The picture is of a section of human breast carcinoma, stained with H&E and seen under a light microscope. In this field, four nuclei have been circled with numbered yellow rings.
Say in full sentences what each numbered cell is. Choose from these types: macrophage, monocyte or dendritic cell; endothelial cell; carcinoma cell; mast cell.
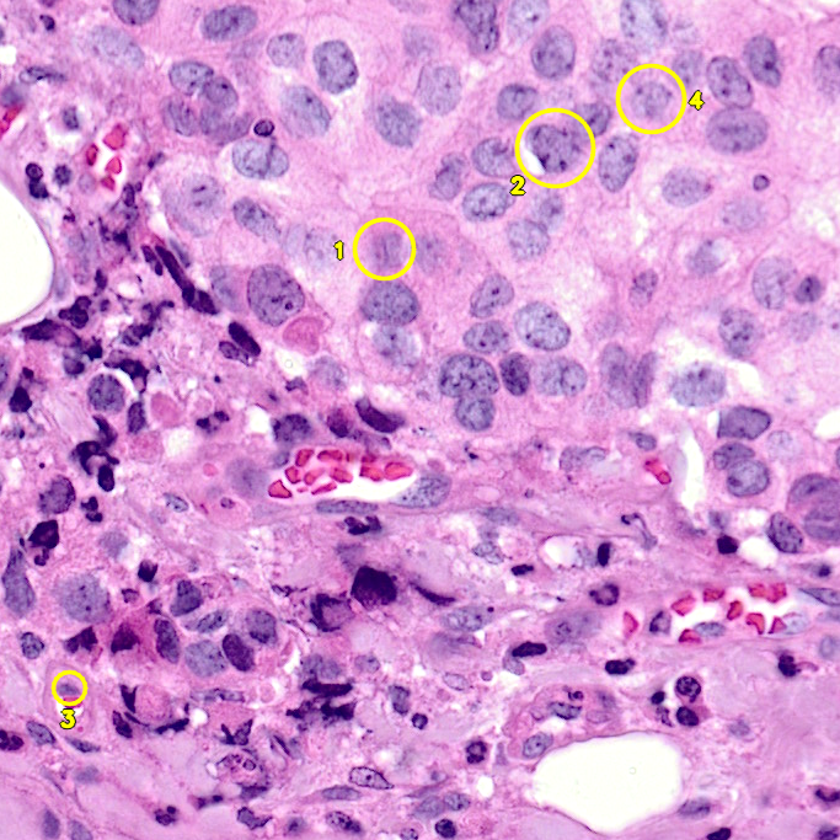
Cell 1 is a carcinoma cell, cell 2 is a carcinoma cell, cell 3 is an endothelial cell and cell 4 is a carcinoma cell.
